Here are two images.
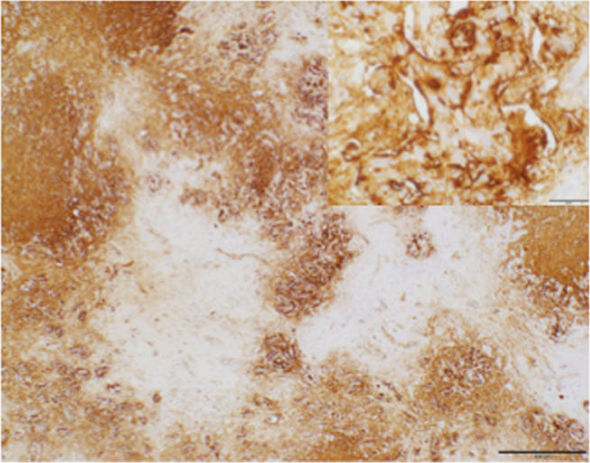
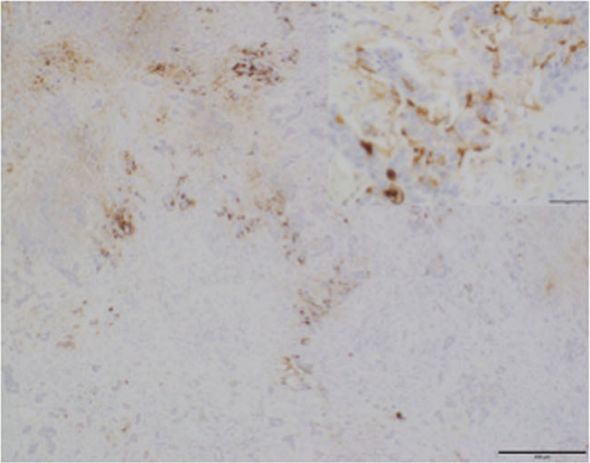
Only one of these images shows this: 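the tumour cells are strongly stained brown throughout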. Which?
the first image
